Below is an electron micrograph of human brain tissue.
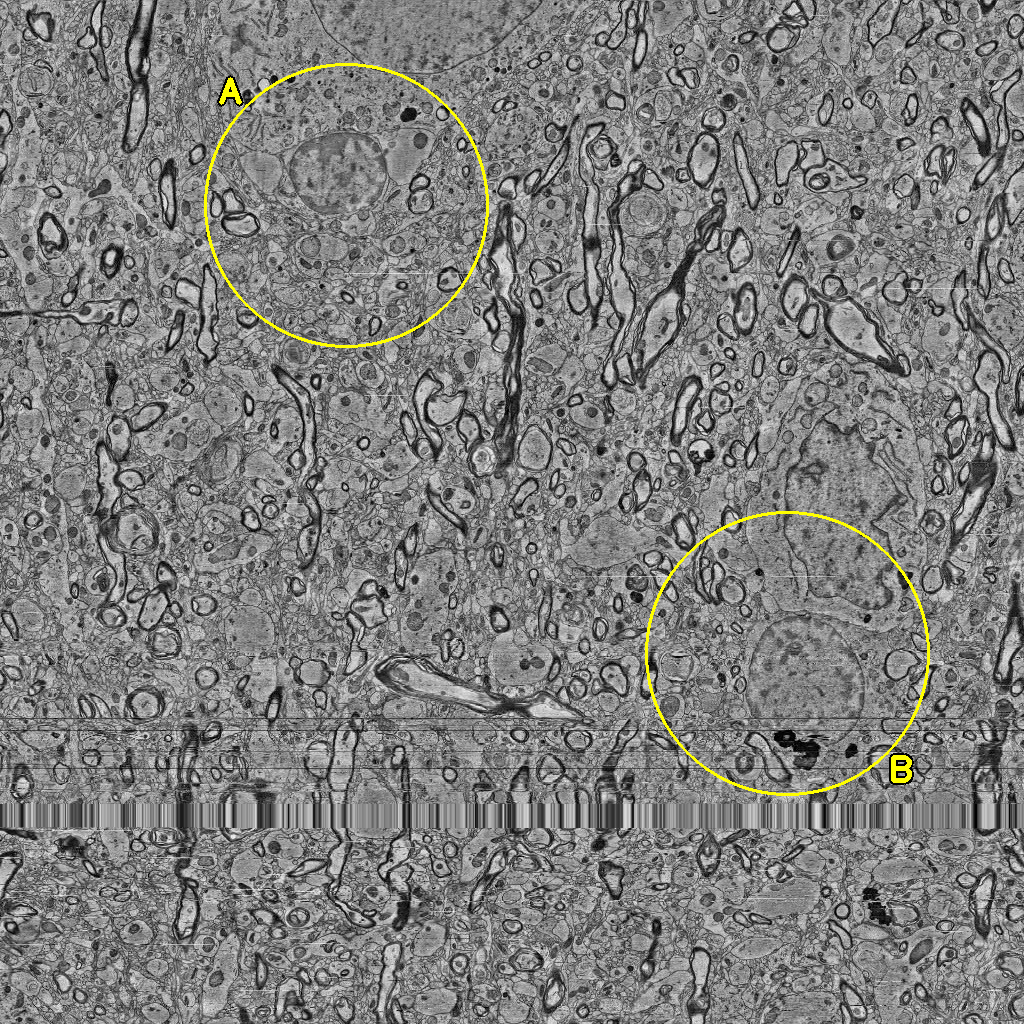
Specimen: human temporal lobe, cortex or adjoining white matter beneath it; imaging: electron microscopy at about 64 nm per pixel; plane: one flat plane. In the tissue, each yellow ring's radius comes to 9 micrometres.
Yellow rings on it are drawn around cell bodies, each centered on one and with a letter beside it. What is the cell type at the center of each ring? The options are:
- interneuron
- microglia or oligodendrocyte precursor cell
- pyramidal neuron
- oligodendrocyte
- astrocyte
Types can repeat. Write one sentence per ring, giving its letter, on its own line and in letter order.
At the center of ring A is a microglial cell or oligodendrocyte precursor cell.
At the center of ring B is an oligodendrocyte.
